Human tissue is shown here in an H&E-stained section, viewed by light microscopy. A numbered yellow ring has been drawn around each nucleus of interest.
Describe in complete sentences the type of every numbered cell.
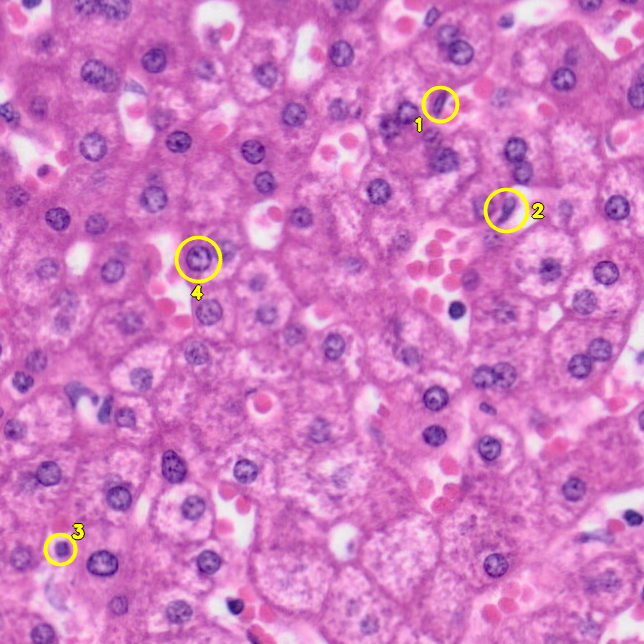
Cell 1 is an endothelial cell. Cell 2 is a Kupffer cell. Cell 3 is a lymphocyte. Cell 4 is a hepatocyte.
